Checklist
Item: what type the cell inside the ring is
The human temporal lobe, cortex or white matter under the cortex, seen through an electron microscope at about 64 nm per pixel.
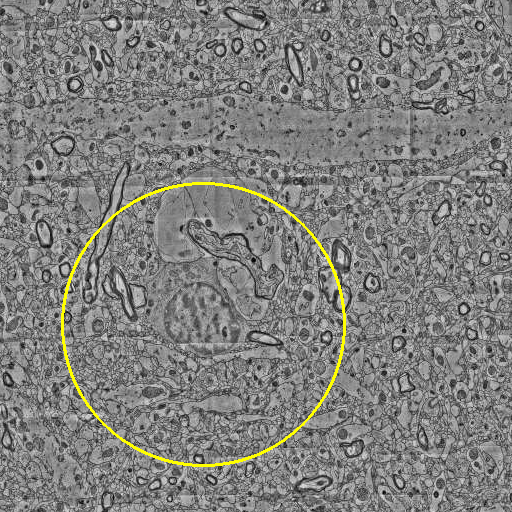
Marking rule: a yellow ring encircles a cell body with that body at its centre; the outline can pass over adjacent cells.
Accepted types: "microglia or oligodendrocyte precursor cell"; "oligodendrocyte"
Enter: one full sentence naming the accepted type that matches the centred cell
The entry is that an oligodendrocyte lies at the centre of the yellow ring.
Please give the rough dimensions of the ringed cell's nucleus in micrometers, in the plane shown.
The nucleus has a long axis of about 5 micrometres and a short axis of about 4 micrometres in this plane.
